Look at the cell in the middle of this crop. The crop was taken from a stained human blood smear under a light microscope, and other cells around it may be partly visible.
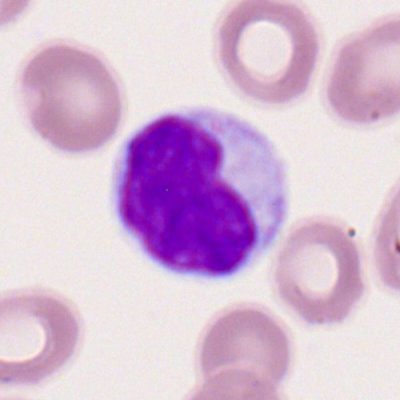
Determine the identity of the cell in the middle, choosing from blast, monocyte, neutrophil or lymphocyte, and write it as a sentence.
Present in the middle of the crop is a lymphocyte.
